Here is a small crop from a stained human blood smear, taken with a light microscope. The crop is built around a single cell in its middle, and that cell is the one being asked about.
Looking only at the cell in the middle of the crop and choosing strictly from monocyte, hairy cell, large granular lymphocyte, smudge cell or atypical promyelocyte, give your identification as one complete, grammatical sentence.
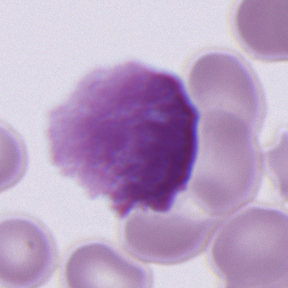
Answering briefly, the cell in the middle is a smudge cell.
